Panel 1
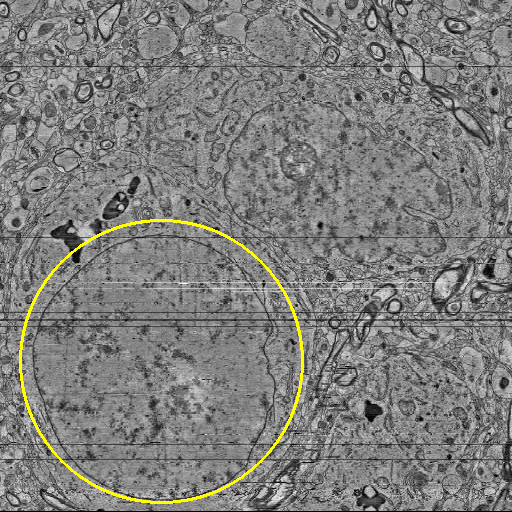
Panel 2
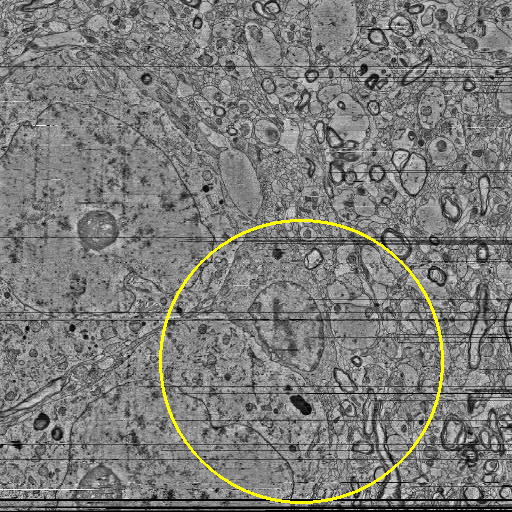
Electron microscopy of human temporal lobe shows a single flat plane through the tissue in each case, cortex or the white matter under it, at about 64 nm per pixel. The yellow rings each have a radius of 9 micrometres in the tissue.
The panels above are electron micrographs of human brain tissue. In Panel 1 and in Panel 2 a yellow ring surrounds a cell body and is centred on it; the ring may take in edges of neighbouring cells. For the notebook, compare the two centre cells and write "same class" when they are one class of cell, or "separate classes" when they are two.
separate classes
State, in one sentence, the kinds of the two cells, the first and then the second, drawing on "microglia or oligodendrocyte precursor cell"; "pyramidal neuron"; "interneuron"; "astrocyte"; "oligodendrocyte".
The ring in the second picture is centred on an oligodendrocyte, the ring in the first on a pyramidal neuron.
